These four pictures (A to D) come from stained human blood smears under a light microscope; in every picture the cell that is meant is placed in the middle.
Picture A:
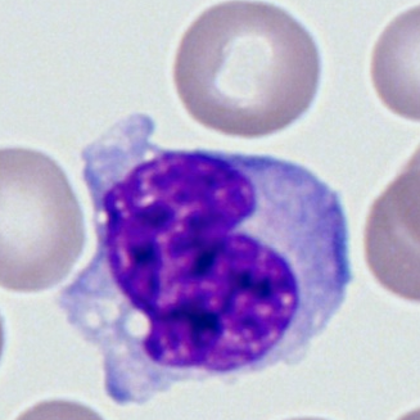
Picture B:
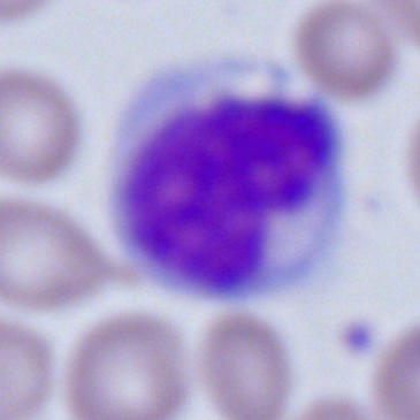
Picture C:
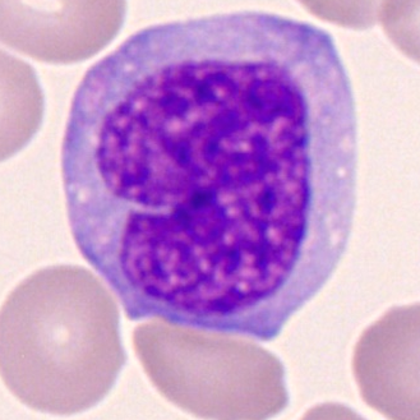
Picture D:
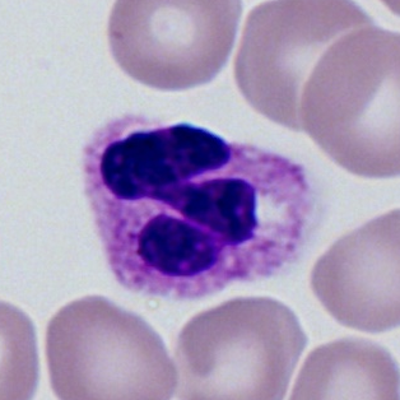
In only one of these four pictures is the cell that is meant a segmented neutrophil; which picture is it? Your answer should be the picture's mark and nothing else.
D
